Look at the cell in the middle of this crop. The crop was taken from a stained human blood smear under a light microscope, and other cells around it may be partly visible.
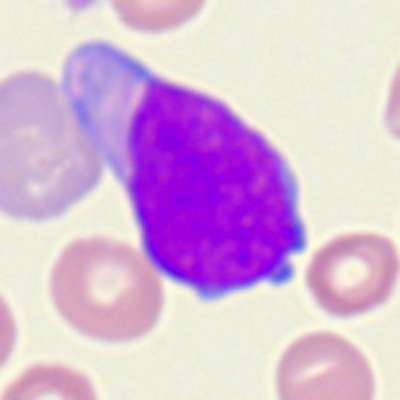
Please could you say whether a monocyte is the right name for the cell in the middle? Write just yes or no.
no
